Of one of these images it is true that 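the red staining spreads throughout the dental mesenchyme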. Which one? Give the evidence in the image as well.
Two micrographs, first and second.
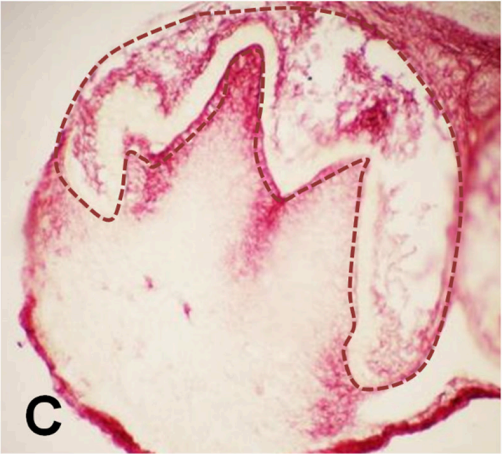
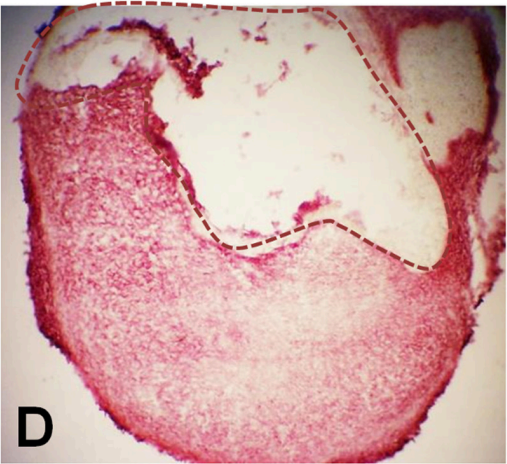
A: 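Second image: the whole mesenchymal mass below the dashed line is stained red. First image: red stain is confined to a band under the dashed epithelium, the centre is pale. So: the second image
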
